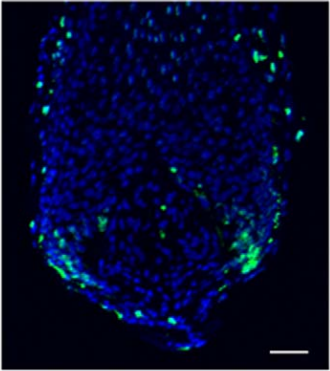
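This is the lower end of a hair follicle, the hair bulb, filled with closely packed blue nuclei of keratinocytes. Scattered small bright green nuclei lie mostly toward the bottom and along the edges of the bulb, many of them compact and brighter than the blue nuclei around them.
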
